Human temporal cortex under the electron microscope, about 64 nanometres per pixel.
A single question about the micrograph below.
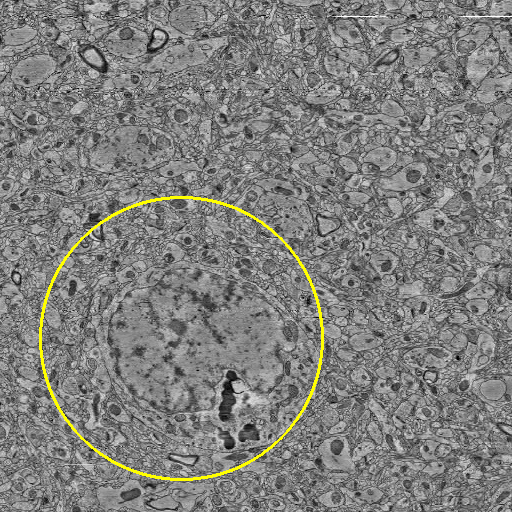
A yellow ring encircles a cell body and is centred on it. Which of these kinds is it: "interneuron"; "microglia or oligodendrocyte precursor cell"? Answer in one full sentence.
The cell body at the centre of the yellow ring belongs to an interneuron.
